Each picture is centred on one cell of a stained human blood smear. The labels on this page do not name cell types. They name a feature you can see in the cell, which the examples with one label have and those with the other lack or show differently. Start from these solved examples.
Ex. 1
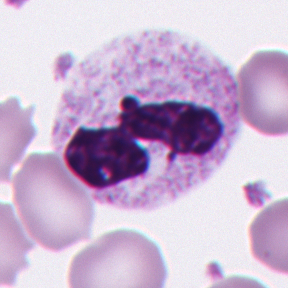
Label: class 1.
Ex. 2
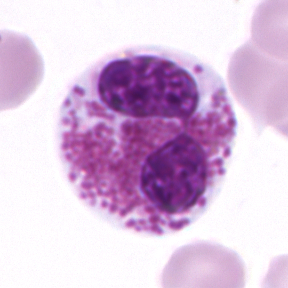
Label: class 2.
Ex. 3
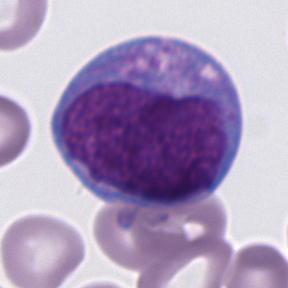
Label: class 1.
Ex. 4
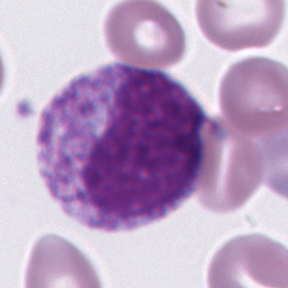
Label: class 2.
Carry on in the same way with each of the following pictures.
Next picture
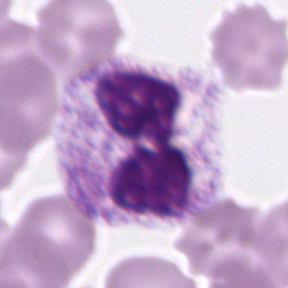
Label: class 2.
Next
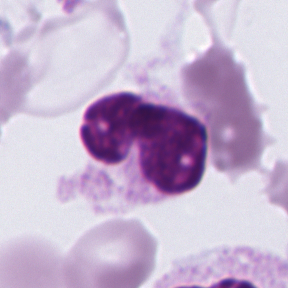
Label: class 1.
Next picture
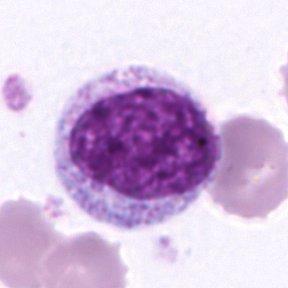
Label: class 1.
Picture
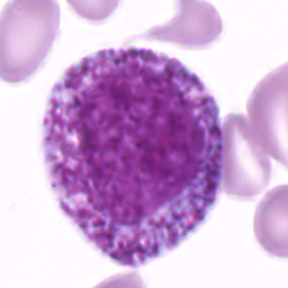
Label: class 2.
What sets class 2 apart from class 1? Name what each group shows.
Seen in class 2: coarse or large granules; seen in class 1: fine or small granules.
